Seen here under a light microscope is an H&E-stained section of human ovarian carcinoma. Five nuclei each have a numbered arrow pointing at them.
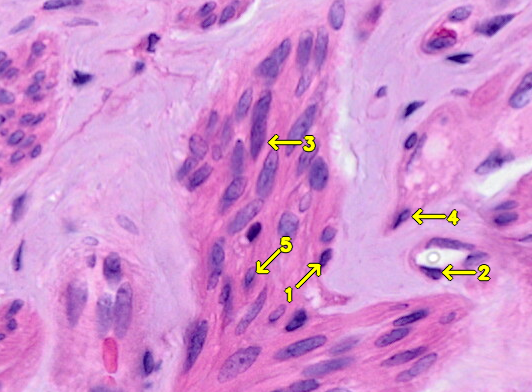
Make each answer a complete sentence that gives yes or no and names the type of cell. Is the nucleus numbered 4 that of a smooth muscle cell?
No, not a smooth muscle cell: the cell with number 4 is an endothelial cell.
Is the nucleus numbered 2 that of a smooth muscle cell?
No, the nucleus numbered 2 belongs to an endothelial cell, not a smooth muscle cell.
